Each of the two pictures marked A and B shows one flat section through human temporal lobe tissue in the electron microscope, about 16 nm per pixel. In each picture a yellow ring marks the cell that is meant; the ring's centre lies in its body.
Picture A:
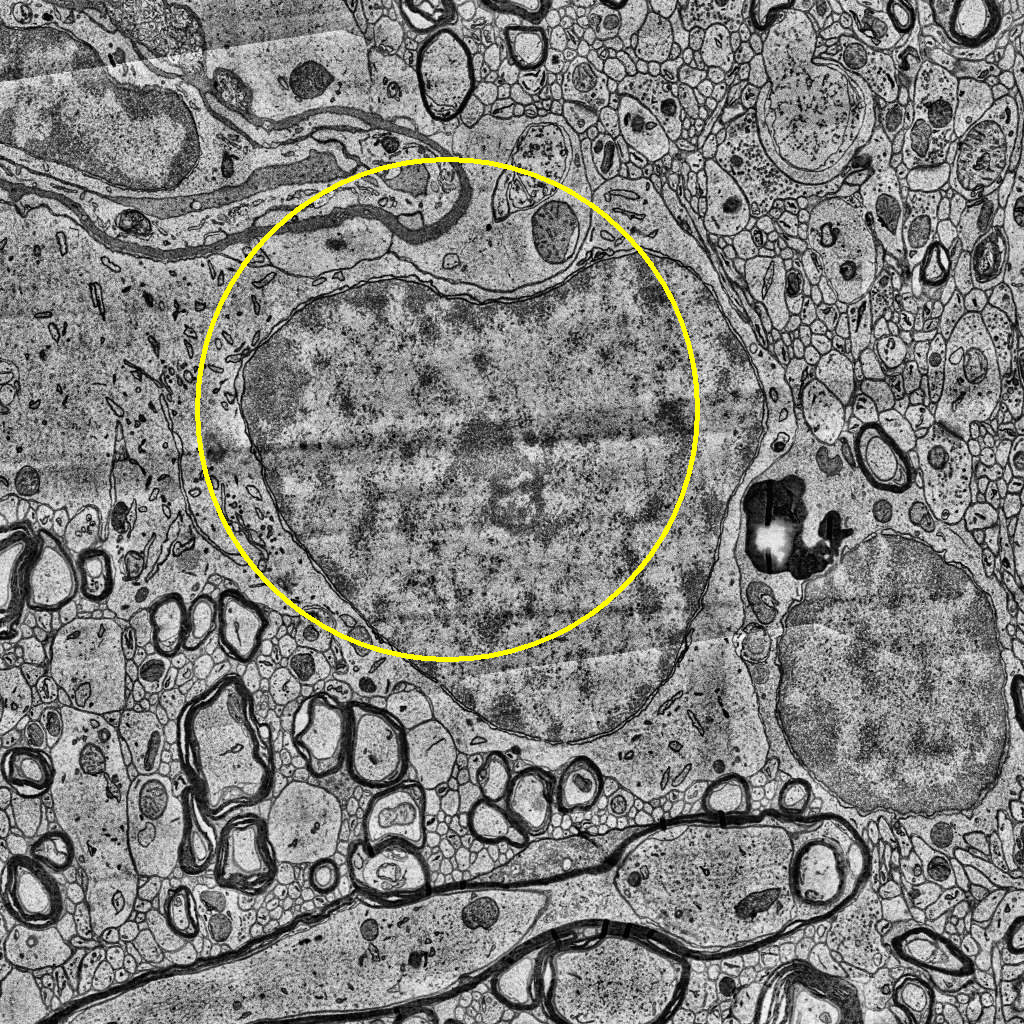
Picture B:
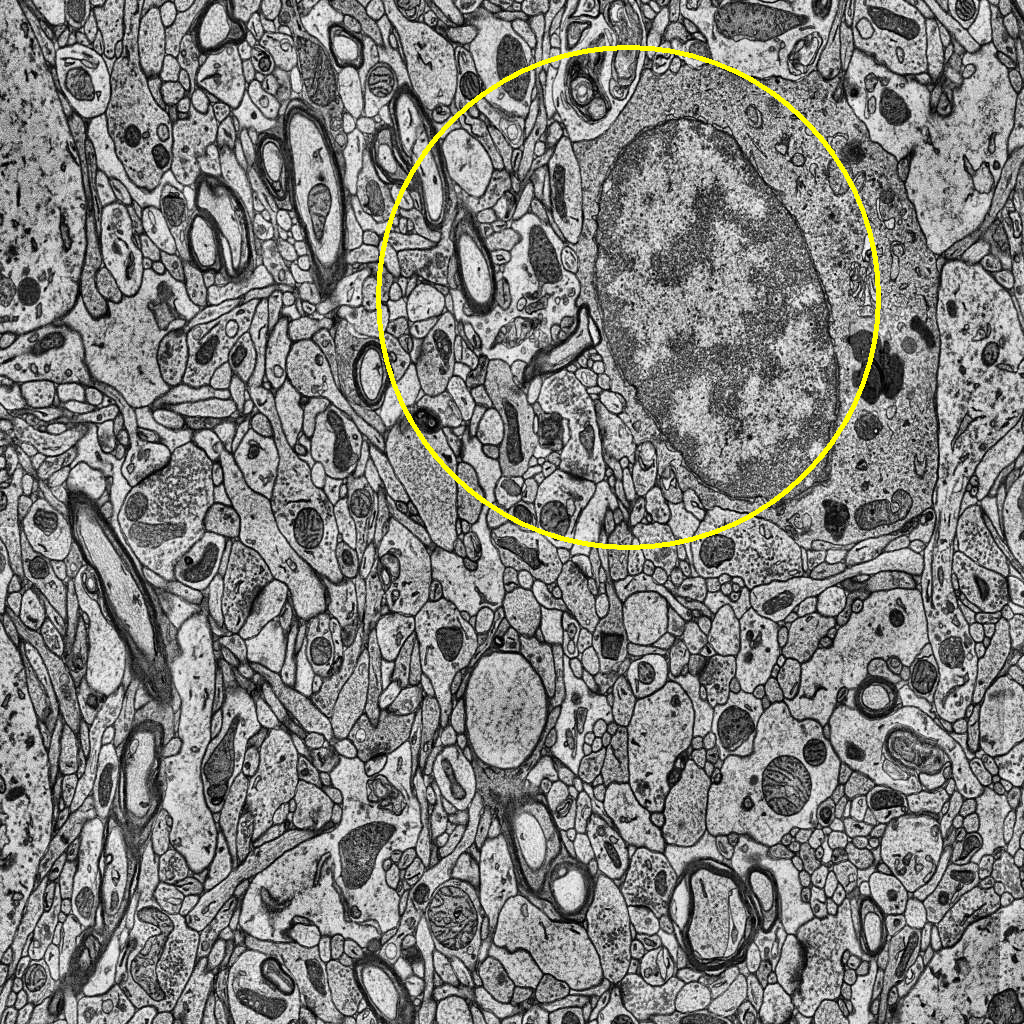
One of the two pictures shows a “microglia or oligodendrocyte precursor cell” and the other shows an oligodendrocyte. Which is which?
Picture B shows an oligodendrocyte, while picture A shows a “microglia or oligodendrocyte precursor cell”.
